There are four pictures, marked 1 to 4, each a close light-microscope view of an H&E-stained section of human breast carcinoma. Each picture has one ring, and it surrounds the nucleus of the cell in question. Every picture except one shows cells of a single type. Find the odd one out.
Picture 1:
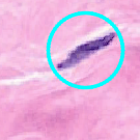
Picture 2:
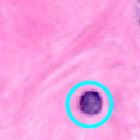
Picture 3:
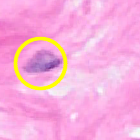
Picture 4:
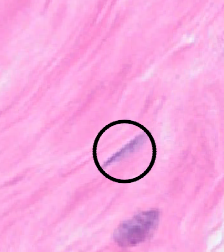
2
